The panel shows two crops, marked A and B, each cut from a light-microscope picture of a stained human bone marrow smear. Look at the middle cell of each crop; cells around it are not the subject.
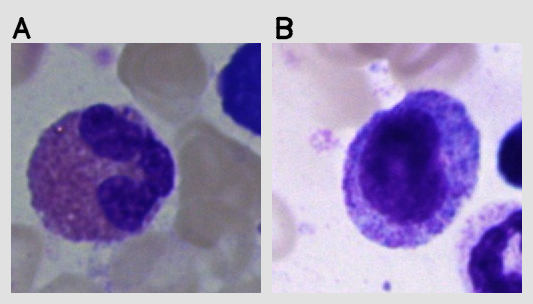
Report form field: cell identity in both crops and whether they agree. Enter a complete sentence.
No, crop A presents an eosinophil, whereas crop B presents a promyelocyte.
